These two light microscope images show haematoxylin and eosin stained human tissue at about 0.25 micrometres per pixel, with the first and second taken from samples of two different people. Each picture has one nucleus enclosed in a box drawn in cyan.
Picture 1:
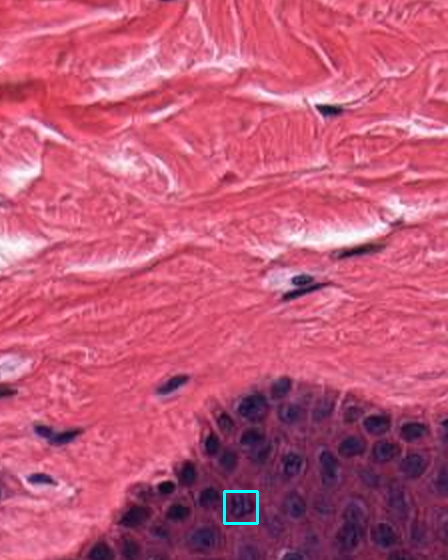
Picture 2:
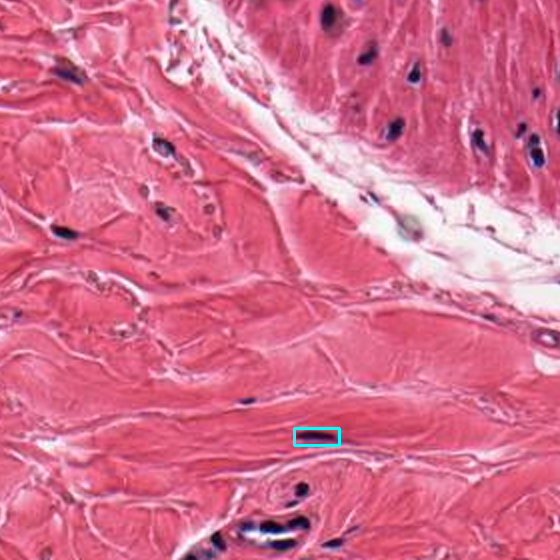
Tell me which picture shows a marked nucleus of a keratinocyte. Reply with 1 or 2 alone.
1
